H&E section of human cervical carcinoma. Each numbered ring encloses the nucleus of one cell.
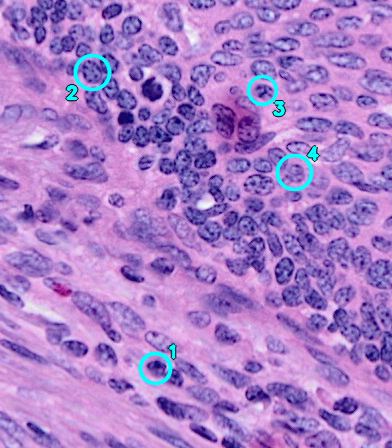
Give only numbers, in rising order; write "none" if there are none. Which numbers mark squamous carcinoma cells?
2, 3, 4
